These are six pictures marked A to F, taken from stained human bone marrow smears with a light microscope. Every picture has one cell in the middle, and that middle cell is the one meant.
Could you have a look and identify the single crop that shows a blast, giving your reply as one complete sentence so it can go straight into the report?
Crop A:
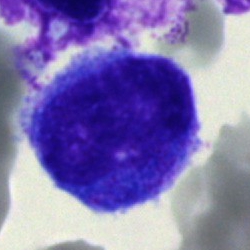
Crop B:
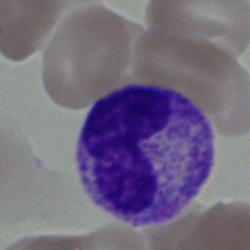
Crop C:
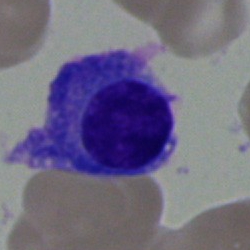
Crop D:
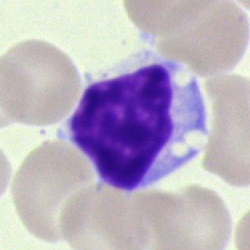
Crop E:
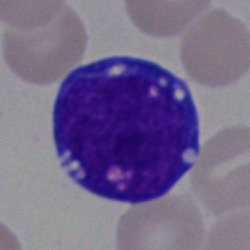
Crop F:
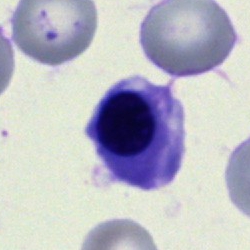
Crop E is the one that shows a blast.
